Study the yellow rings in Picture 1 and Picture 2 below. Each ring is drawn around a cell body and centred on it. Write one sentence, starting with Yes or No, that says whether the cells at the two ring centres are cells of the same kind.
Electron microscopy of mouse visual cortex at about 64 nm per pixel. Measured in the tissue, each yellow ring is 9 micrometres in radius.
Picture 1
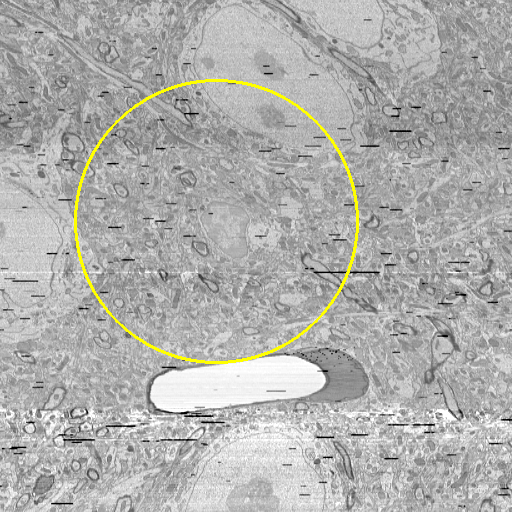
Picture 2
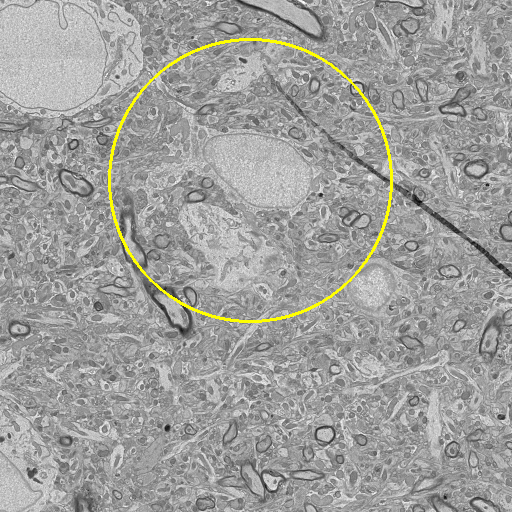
No, the cells at the ring centres are of two kinds.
